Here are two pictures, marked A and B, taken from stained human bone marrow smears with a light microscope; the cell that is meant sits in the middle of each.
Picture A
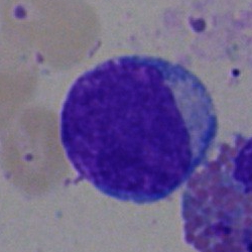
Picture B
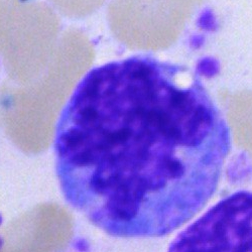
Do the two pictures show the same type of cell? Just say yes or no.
no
